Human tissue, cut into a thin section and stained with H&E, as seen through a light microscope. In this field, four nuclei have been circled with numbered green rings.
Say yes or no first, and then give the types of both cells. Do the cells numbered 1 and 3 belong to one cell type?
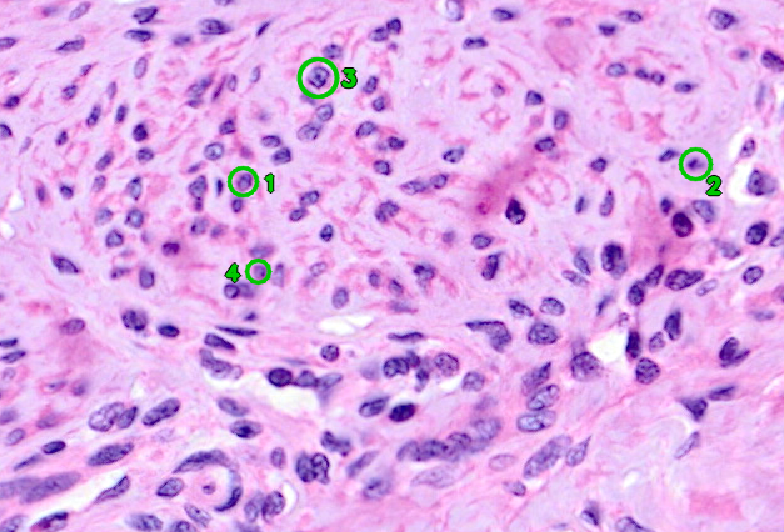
Yes, both are smooth muscle cells.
